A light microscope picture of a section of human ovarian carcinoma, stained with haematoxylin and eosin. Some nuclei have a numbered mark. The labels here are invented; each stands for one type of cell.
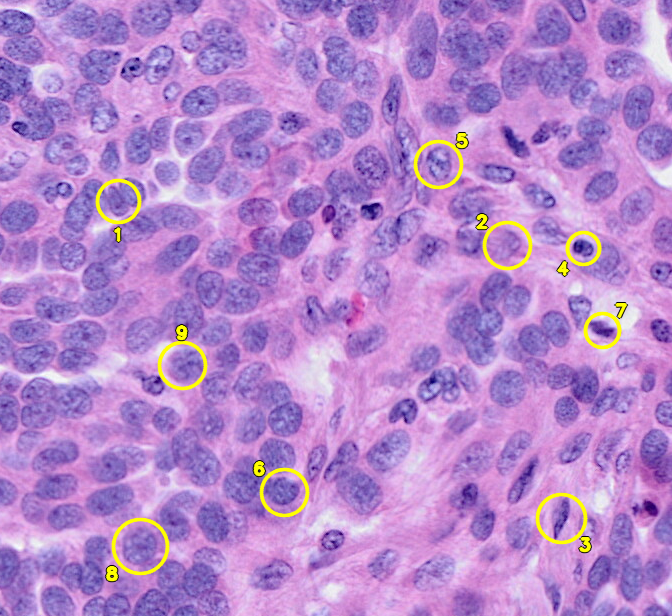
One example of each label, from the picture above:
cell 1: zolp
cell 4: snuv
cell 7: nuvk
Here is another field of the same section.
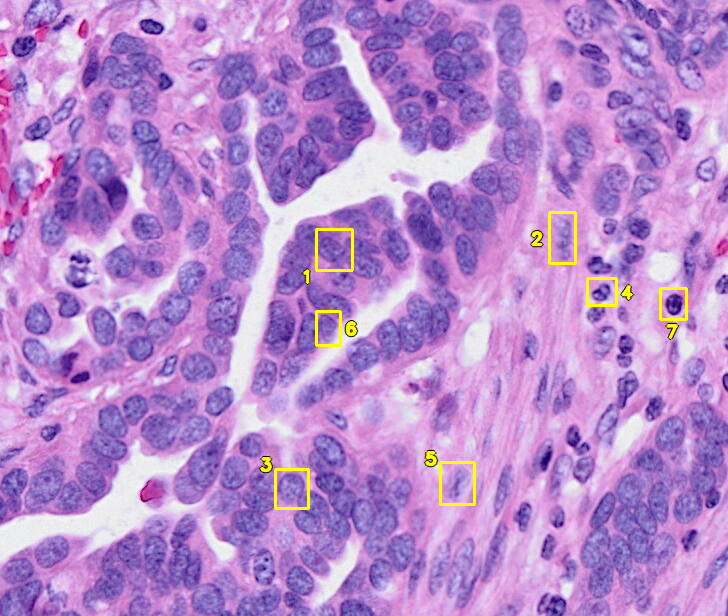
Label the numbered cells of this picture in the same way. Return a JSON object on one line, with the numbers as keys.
{"1": "zolp", "2": "nuvk", "3": "zolp", "4": "snuv", "5": "nuvk", "6": "zolp", "7": "snuv"}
